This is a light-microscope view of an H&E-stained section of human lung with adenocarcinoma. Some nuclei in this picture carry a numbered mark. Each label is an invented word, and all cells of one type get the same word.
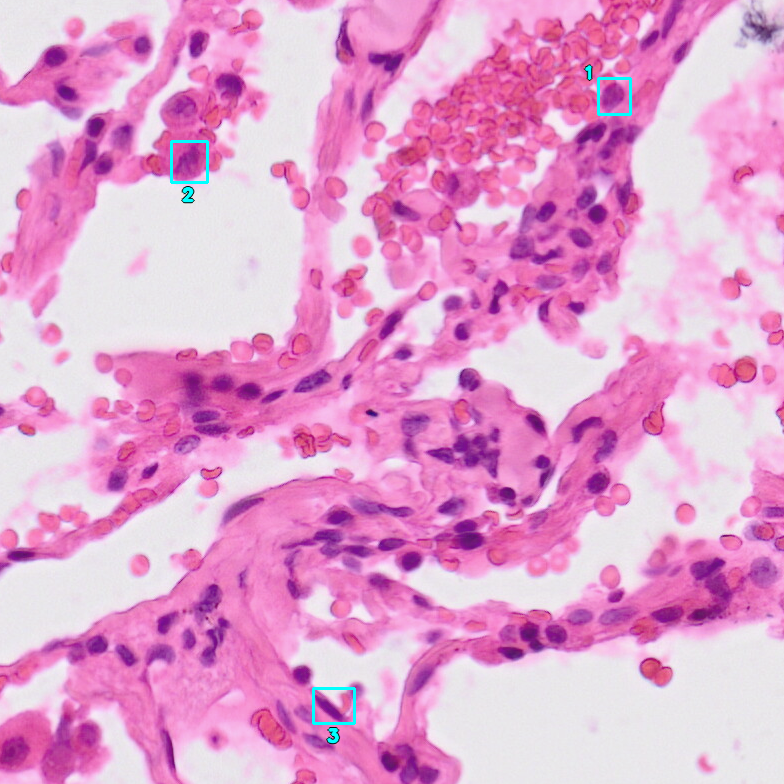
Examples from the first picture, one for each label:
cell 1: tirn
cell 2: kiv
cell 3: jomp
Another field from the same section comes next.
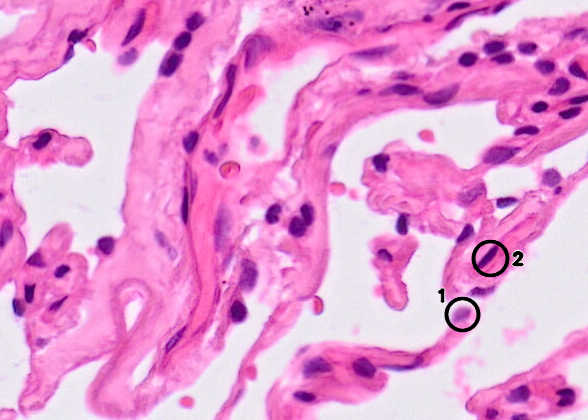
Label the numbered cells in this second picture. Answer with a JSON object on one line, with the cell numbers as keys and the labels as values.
{"1": "tirn", "2": "jomp"}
